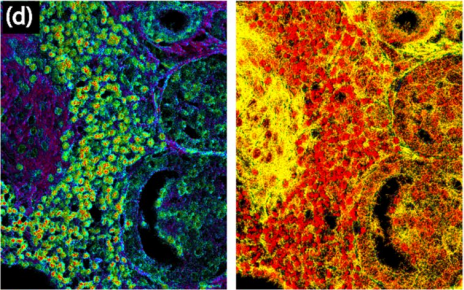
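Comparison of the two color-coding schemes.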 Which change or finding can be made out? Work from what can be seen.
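A region with inflammation. A dense sheet of many small round cells fills the left and middle of each image. The round cells lie between glands and fibrous stroma. Glands with lumens lie to the right of the cell sheet.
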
